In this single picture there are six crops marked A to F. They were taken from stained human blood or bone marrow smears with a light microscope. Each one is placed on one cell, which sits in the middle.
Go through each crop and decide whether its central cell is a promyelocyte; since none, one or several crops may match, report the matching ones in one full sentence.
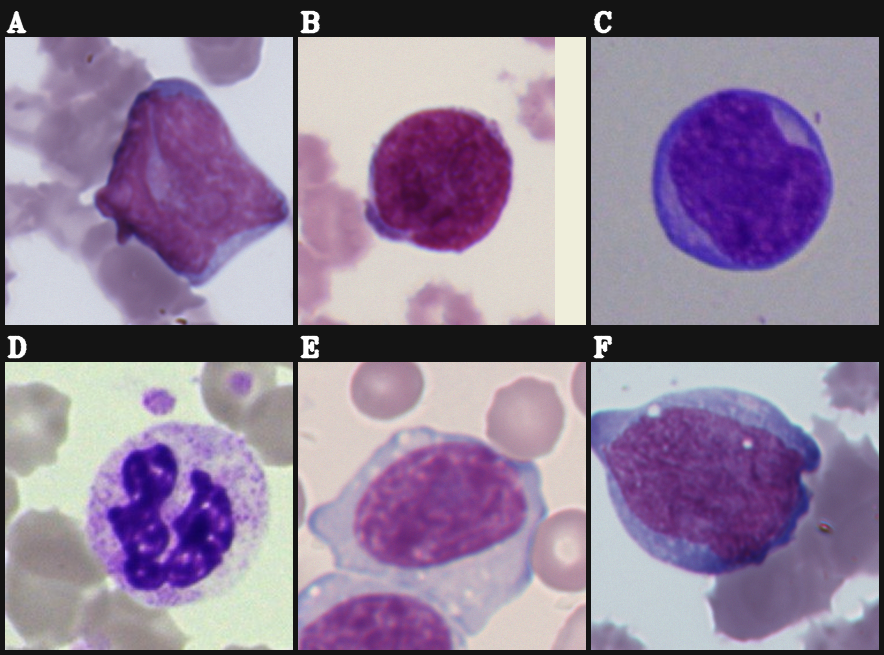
In none of the crops is the middle cell a promyelocyte.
